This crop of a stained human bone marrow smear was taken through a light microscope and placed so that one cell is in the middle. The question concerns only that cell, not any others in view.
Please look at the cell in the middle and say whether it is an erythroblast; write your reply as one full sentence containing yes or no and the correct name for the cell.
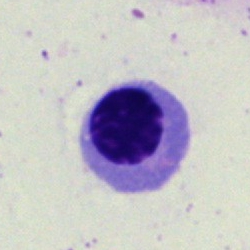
Yes, the cell sitting in the middle of this smear crop is an erythroblast.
